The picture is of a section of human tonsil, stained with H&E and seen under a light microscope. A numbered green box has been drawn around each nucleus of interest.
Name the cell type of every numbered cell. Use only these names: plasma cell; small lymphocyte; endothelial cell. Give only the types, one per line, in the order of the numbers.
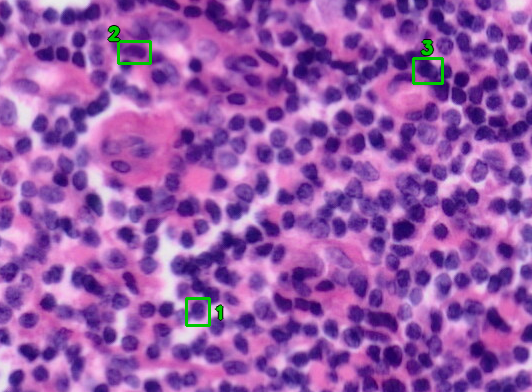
small lymphocyte
endothelial cell
small lymphocyte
